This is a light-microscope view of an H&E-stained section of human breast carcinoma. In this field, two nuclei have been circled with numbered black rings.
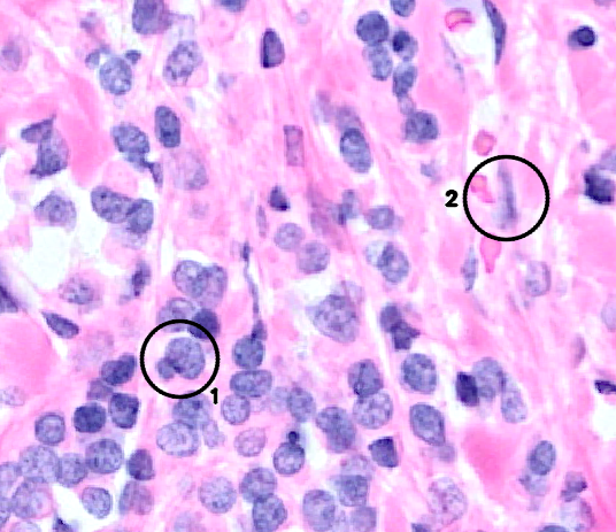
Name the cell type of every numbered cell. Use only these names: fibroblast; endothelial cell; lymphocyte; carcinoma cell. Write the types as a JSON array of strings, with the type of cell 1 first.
["carcinoma cell", "endothelial cell"]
